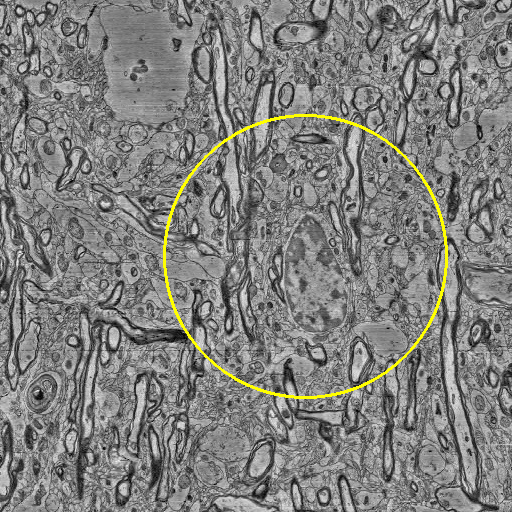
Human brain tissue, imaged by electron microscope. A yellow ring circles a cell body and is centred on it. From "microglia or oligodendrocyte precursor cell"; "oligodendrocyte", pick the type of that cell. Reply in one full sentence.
The cell body at the centre of the yellow ring belongs to a microglial cell or oligodendrocyte precursor cell.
